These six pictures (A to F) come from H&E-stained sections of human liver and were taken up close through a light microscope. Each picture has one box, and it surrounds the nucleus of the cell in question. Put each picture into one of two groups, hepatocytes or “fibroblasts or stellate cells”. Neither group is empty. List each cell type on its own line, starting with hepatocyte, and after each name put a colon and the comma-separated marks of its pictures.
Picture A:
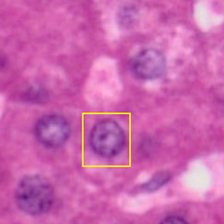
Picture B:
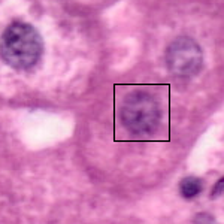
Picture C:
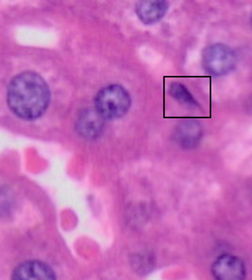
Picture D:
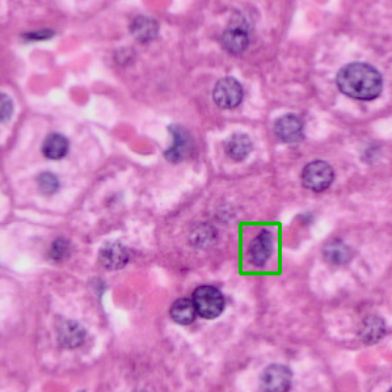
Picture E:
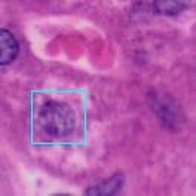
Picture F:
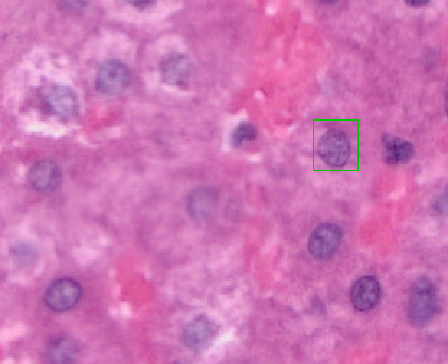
hepatocyte: A, B, E, F
fibroblast or stellate cell: C, D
